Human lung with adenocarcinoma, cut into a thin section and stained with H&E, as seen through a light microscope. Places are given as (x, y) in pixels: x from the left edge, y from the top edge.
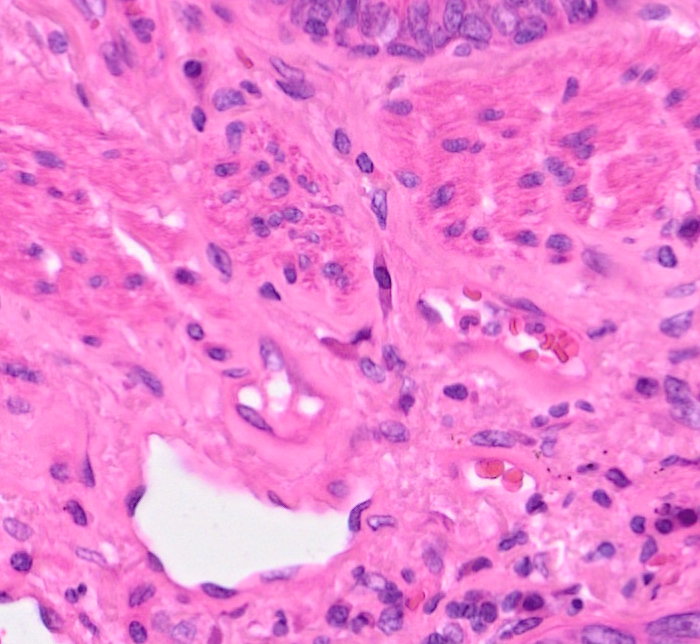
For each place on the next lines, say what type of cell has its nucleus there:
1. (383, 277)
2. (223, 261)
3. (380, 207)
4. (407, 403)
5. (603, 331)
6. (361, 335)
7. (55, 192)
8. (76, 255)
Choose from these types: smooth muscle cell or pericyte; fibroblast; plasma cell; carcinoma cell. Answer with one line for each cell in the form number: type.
1: plasma cell
2: fibroblast
3: fibroblast
4: plasma cell
5: fibroblast
6: plasma cell
7: smooth muscle cell or pericyte
8: smooth muscle cell or pericyte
